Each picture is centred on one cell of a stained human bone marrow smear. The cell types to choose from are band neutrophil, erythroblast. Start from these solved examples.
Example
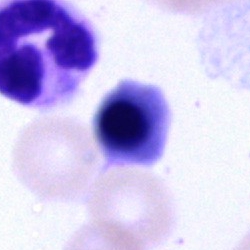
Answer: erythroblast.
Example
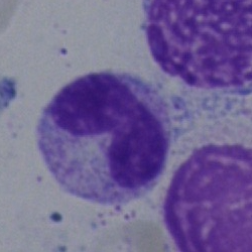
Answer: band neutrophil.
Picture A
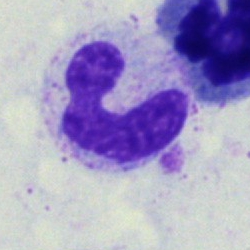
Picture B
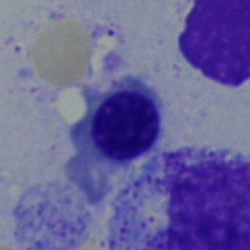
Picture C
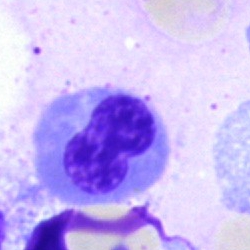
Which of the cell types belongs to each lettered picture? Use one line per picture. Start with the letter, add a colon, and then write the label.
A: band neutrophil.
B: erythroblast.
C: erythroblast.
